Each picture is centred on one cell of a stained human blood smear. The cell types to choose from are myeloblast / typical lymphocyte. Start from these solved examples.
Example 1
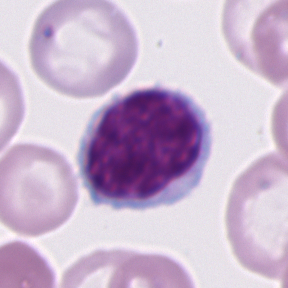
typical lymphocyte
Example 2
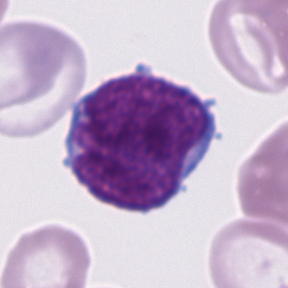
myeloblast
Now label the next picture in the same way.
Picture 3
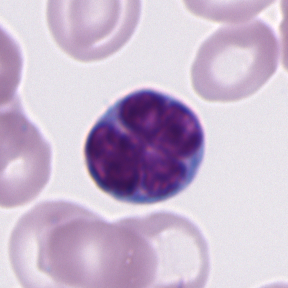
typical lymphocyte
